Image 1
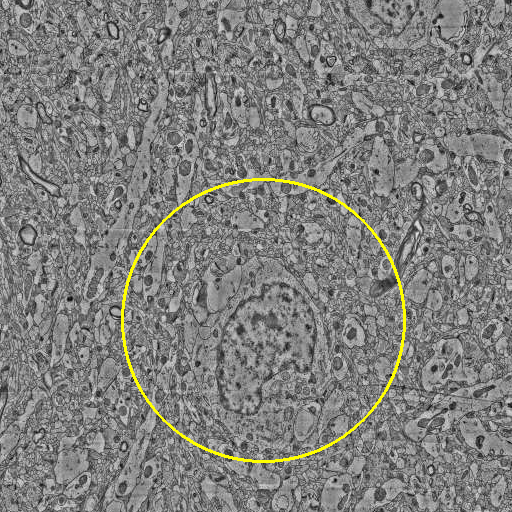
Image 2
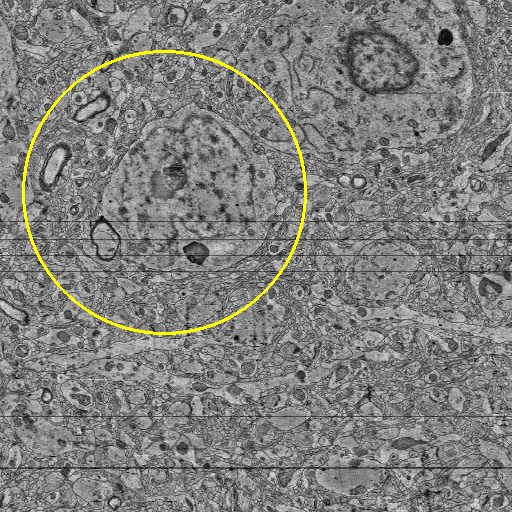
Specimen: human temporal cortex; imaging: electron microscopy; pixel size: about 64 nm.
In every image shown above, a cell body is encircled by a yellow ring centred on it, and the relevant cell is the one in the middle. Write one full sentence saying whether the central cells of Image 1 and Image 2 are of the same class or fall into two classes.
The cell at the ring's centre in Image 1 and its counterpart in Image 2 are of the same class.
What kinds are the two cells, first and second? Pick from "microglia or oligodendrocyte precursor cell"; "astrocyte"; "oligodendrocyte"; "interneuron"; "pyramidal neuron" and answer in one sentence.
Each of the two cells is an interneuron.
